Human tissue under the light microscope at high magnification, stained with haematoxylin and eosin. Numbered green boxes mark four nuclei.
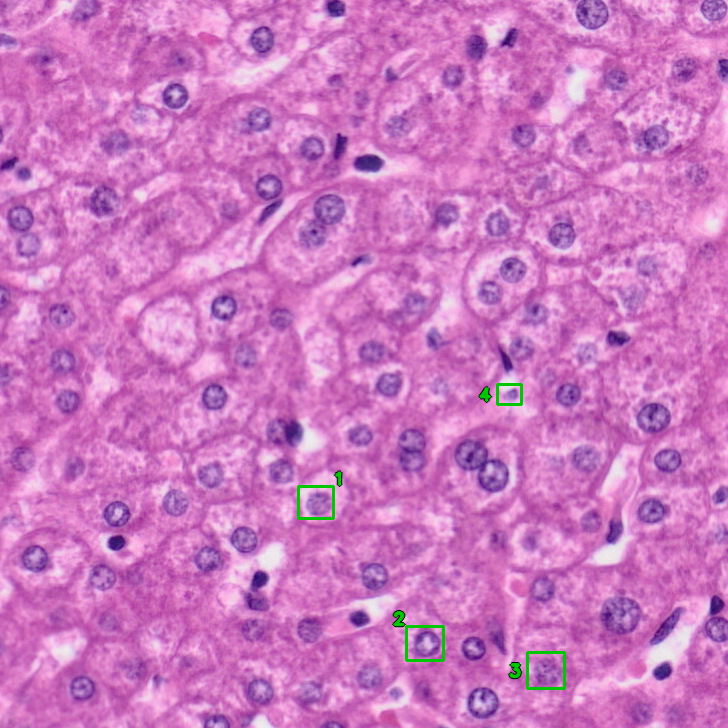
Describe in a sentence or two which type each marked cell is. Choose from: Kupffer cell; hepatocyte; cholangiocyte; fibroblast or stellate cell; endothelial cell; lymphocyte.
Cells 1, 2 and 3 are hepatocytes. Cell 4 is a lymphocyte.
